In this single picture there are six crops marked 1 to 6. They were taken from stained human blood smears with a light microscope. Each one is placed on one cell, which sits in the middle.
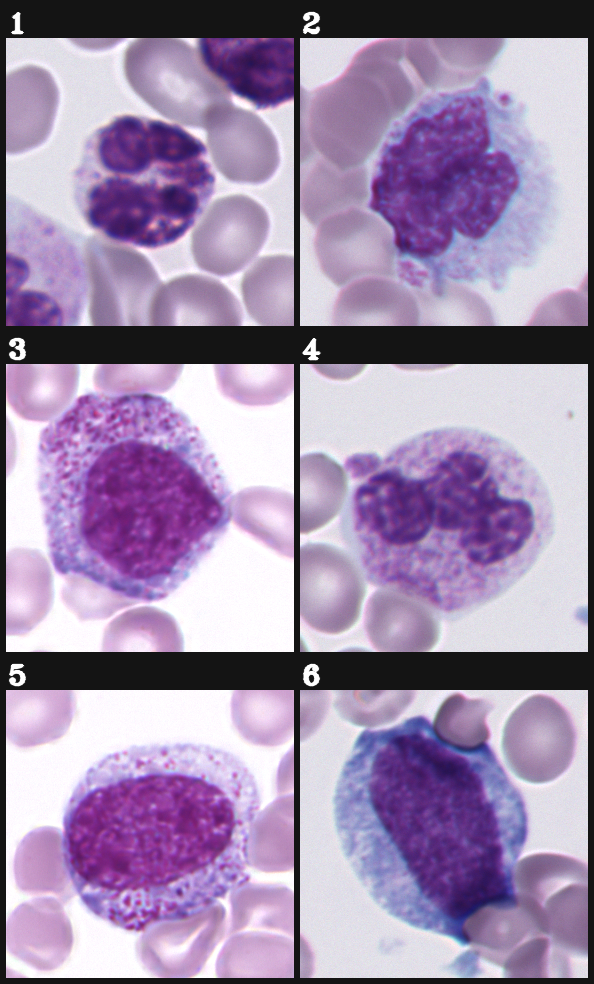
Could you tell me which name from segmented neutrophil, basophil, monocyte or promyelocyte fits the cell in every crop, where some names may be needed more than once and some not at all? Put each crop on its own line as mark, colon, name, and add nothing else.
1: basophil
2: monocyte
3: promyelocyte
4: segmented neutrophil
5: promyelocyte
6: promyelocyte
